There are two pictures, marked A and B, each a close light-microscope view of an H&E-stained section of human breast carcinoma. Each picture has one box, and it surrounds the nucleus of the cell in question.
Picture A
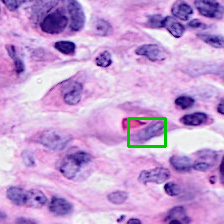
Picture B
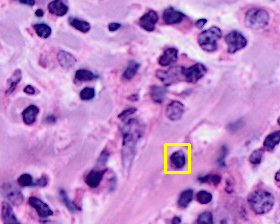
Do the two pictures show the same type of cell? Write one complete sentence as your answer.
No, the types are not the same, since picture A shows an endothelial cell and picture B a lymphocyte.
